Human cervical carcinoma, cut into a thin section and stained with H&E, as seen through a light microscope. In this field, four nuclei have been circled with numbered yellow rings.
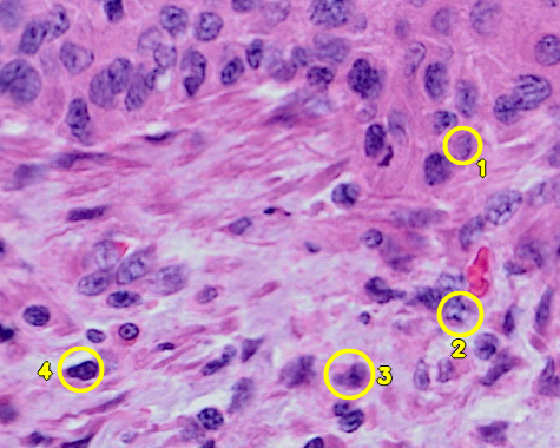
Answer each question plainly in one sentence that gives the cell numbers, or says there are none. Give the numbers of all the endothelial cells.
Of the marked cells, the one numbered 2 is an endothelial cell and the rest are not.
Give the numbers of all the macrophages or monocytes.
Only cell 3 qualifies as a macrophage or monocyte among the numbered cells.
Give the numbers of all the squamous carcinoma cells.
No marked cell except number 1 is a squamous carcinoma cell.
